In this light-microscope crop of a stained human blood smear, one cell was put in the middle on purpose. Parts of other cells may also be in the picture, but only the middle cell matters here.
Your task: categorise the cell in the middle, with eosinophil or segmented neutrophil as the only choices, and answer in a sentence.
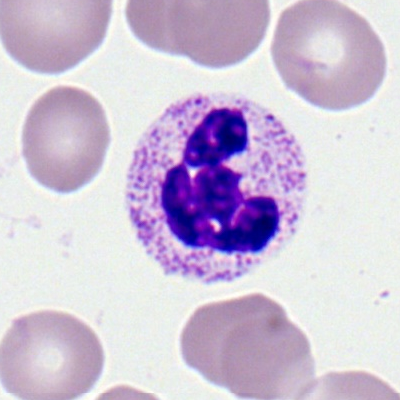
The cell found in the middle of this crop is a segmented neutrophil.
